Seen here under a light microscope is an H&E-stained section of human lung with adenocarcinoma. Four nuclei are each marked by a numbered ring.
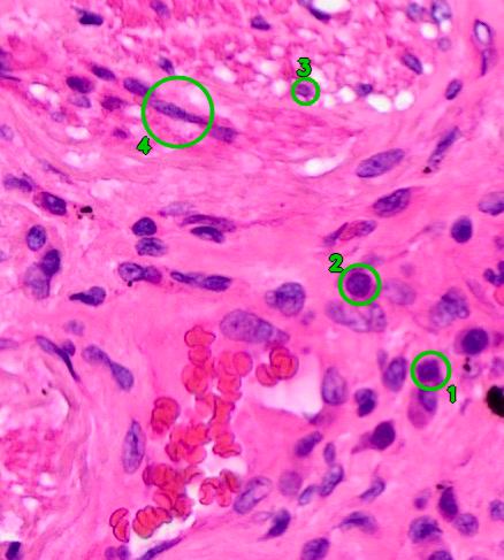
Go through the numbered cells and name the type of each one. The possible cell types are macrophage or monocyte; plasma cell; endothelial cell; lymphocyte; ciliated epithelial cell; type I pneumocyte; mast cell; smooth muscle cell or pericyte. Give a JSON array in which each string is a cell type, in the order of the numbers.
["plasma cell", "plasma cell", "smooth muscle cell or pericyte", "smooth muscle cell or pericyte"]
